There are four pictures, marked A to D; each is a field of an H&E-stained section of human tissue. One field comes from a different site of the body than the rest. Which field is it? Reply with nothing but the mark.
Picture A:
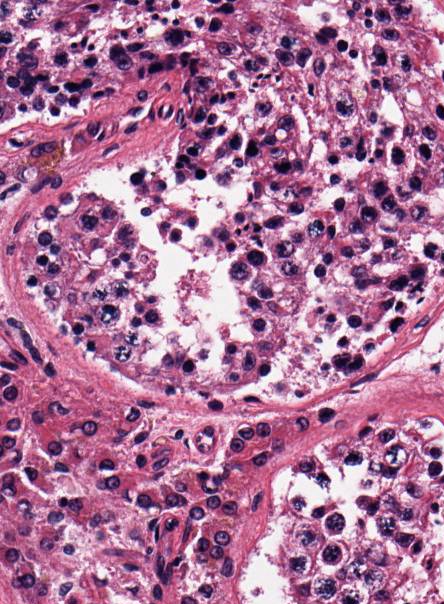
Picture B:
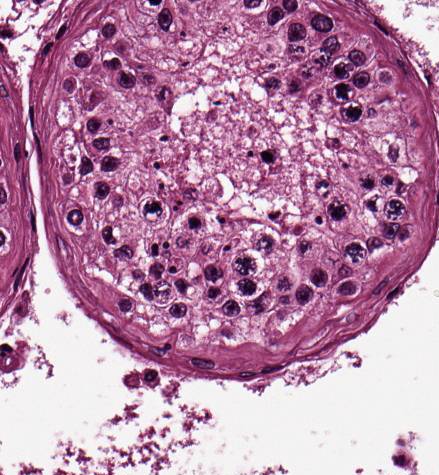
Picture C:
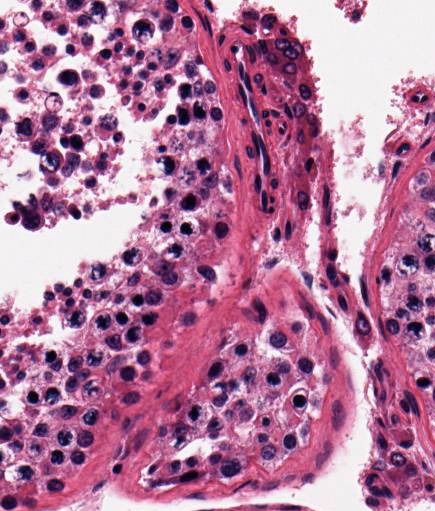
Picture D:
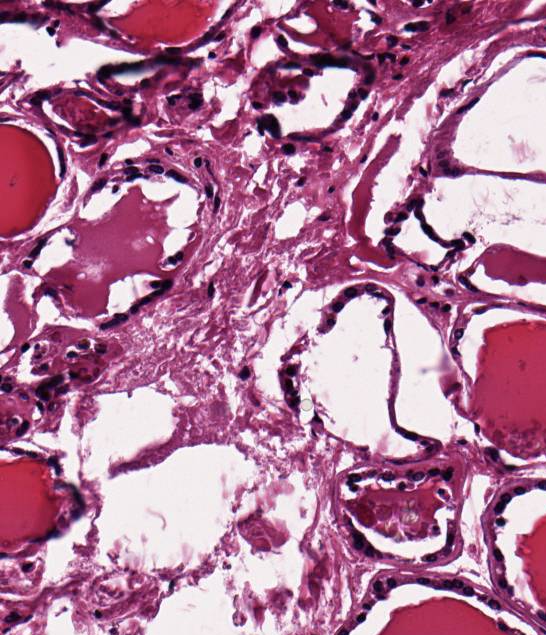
D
